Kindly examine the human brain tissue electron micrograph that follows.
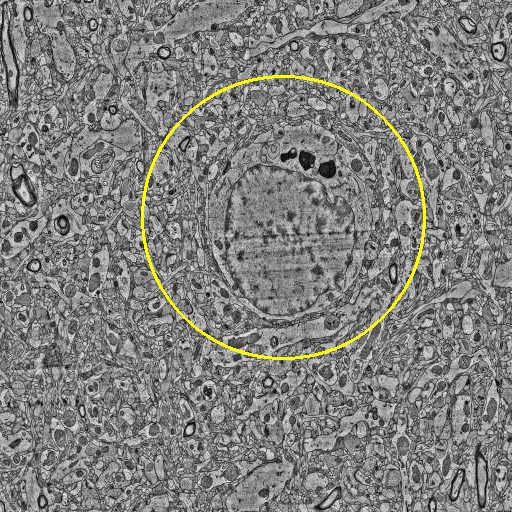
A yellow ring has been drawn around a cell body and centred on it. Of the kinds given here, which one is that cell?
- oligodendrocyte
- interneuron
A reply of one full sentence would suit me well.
The micrograph's ringed cell, the one at the ring's centre, is an interneuron.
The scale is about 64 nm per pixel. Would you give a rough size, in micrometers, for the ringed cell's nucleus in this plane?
Roughly 9 micrometers across, in this plane.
